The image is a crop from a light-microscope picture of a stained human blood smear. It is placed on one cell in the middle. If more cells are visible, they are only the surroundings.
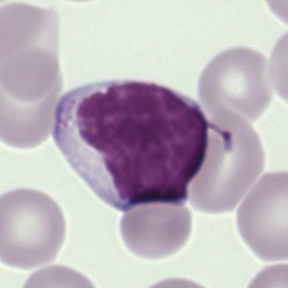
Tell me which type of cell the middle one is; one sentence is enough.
The central cell shown in this smear crop is a large granular lymphocyte.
